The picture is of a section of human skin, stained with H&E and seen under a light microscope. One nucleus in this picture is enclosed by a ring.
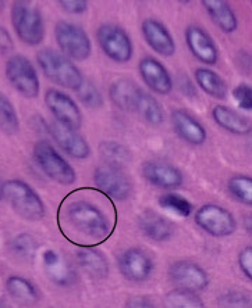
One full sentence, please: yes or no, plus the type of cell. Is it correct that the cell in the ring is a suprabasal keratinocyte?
Yes, it is accurate to say that the cell in the ring is a suprabasal keratinocyte.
